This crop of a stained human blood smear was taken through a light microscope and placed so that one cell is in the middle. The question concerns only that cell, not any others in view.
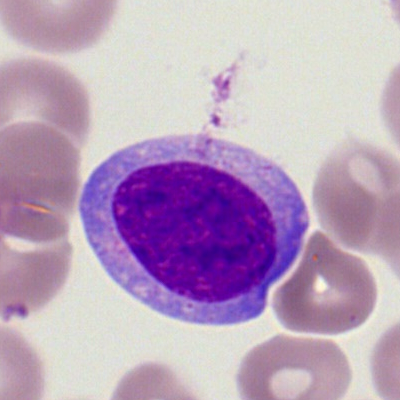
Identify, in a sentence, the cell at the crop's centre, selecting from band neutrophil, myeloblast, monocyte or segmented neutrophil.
Framed in the middle of the crop is a myeloblast.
